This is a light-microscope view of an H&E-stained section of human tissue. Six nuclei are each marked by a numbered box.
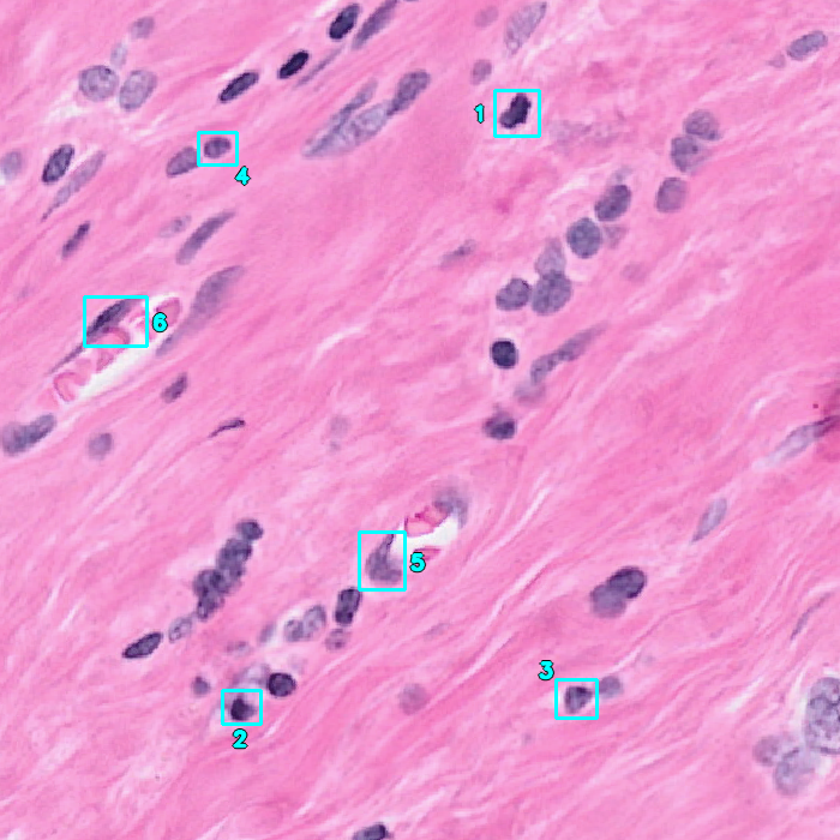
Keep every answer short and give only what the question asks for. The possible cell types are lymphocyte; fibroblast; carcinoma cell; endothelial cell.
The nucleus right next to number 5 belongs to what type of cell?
lymphocyte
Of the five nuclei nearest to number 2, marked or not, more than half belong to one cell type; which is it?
lymphocyte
